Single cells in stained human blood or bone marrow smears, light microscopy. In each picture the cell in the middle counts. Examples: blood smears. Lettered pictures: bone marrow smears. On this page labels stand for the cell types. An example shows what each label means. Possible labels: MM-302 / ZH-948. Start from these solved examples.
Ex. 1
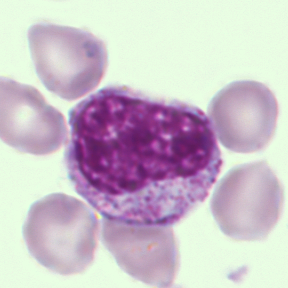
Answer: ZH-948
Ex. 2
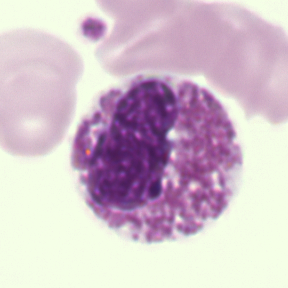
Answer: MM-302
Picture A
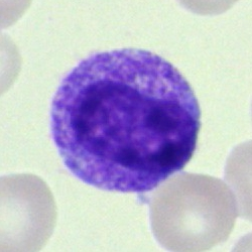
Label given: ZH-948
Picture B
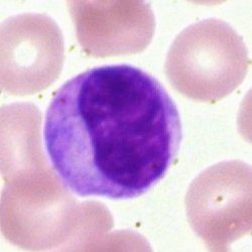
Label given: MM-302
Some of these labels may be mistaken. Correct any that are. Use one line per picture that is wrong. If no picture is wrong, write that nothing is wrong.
B: ZH-948, not MM-302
